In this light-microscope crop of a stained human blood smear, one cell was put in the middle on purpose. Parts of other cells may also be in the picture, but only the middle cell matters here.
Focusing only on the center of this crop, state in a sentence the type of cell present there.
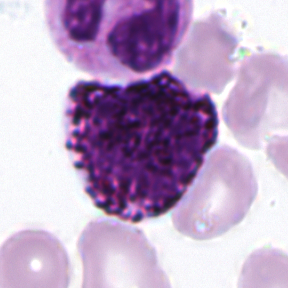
Within this crop, a basophil occupies the central position.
